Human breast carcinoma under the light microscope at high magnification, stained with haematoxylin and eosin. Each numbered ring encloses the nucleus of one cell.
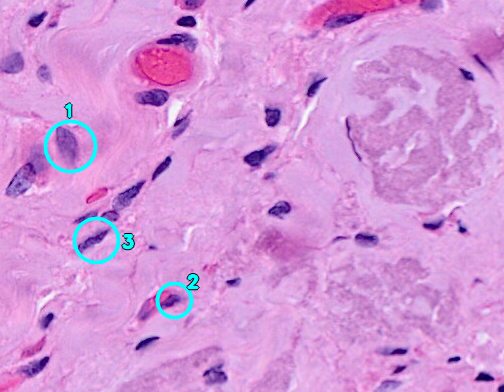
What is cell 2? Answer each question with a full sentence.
The numbered cell 2 is identified here as an endothelial cell.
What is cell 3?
As for number 3, that cell is a fibroblast.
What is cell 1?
The numbered cell 1 is identified here as a fibroblast.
